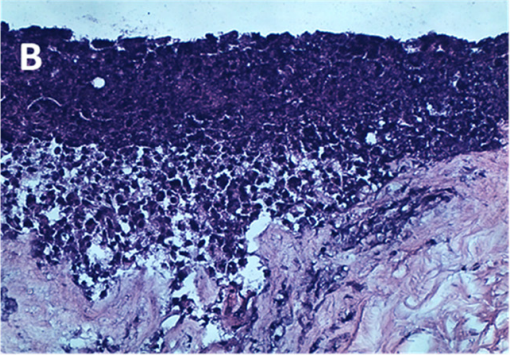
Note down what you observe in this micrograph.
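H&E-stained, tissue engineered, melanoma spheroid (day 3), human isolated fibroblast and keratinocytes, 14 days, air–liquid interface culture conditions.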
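This section shows a skin model with a thick, densely cellular epidermal layer of dark purple cells lying over pale pink dermis. The uppermost cells are packed tightly with dark nuclei, forming a nearly solid band. Lower down the cells become more loosely arranged, with small clear spaces between them. At the bottom the cells merge irregularly into the wavy pink fibres of the dermis rather than meeting it along a sharp line.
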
